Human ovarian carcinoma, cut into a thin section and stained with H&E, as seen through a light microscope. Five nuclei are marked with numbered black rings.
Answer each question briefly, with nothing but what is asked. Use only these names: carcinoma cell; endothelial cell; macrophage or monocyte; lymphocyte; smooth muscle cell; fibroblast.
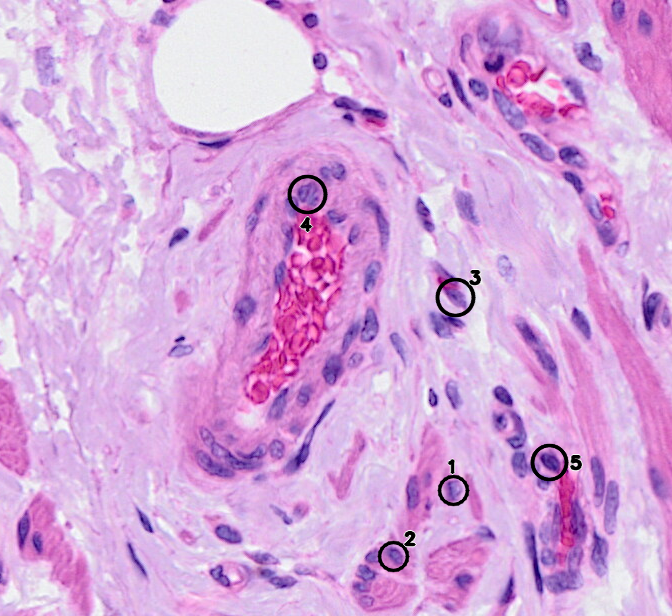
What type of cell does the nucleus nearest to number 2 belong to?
smooth muscle cell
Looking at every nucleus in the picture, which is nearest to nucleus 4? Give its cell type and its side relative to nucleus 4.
an endothelial cell, below and to the left of nucleus 4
